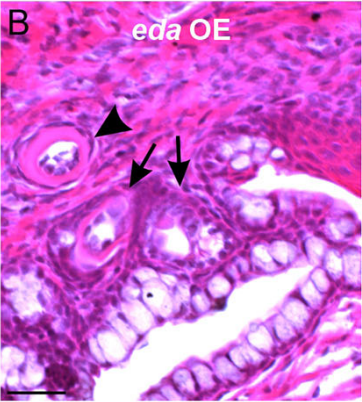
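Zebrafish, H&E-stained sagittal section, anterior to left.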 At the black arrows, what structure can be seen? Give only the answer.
Tooth germs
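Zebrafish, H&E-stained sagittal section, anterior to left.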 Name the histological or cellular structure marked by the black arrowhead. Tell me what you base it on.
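A later-stage tooth. A round structure with a thick bright pink concentric matrix ring. A central cavity within the ring. It lies in the connective tissue away from the epithelium.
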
